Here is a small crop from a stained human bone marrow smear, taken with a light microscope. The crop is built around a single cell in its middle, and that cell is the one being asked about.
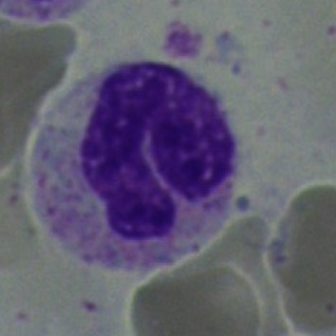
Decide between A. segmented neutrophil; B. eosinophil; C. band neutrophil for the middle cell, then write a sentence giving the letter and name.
Option C is correct in that the central cell is a band neutrophil.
